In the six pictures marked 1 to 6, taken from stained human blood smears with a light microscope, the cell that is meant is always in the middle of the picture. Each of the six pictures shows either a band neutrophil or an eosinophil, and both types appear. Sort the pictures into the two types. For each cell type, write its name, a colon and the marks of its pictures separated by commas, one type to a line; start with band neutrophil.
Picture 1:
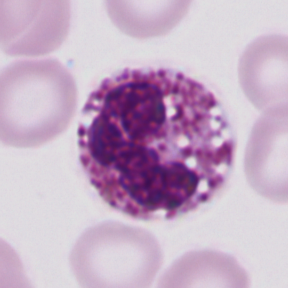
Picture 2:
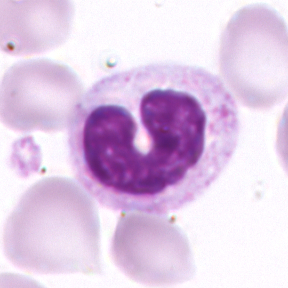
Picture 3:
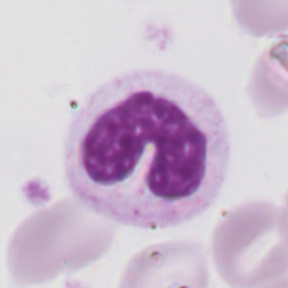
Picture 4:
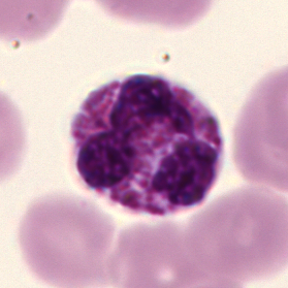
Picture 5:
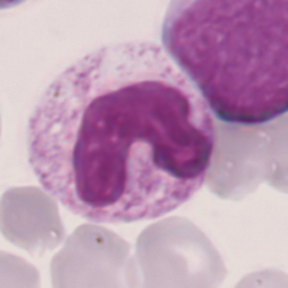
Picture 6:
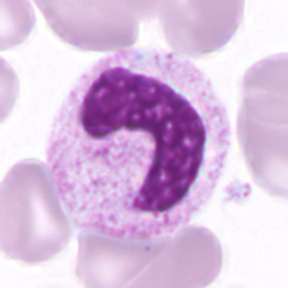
band neutrophil: 2, 3, 5, 6
eosinophil: 1, 4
